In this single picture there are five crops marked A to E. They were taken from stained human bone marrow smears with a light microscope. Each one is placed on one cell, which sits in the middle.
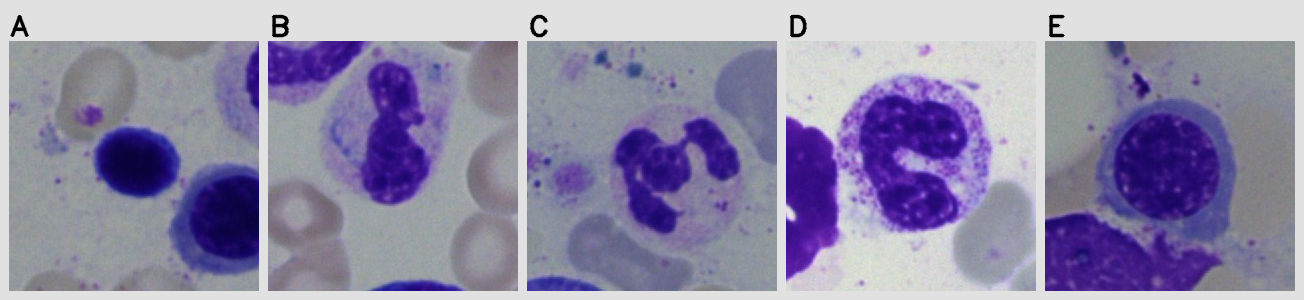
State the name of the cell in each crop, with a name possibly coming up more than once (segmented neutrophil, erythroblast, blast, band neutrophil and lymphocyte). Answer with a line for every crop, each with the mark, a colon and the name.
A: lymphocyte
B: segmented neutrophil
C: segmented neutrophil
D: band neutrophil
E: erythroblast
